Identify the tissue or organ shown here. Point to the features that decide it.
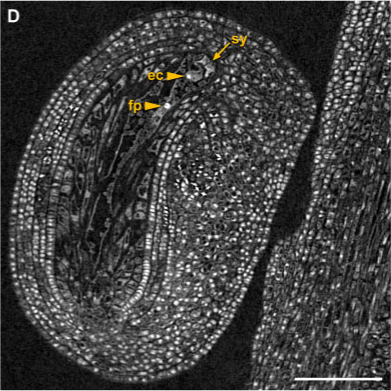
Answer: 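An oval, curved body is bounded by several layers of small, regularly arranged cells. A long central sac with a few large cells lies inside it. That points to this answer: ovule.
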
